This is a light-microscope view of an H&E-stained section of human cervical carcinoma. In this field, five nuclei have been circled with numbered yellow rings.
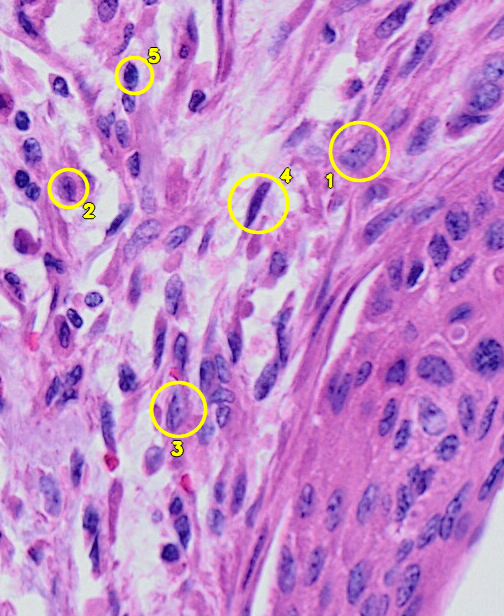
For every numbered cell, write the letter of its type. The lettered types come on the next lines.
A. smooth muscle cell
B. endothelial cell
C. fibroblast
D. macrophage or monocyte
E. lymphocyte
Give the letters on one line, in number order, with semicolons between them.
B; D; B; C; E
